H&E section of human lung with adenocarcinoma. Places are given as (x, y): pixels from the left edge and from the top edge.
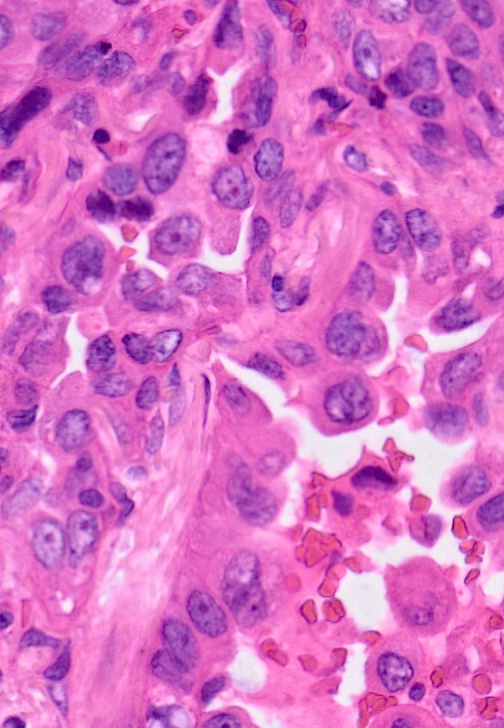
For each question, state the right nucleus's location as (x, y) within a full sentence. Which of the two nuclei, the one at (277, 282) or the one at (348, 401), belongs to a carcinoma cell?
The nucleus at (348, 401) belongs to a carcinoma cell, which distinguishes it from the other nucleus.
